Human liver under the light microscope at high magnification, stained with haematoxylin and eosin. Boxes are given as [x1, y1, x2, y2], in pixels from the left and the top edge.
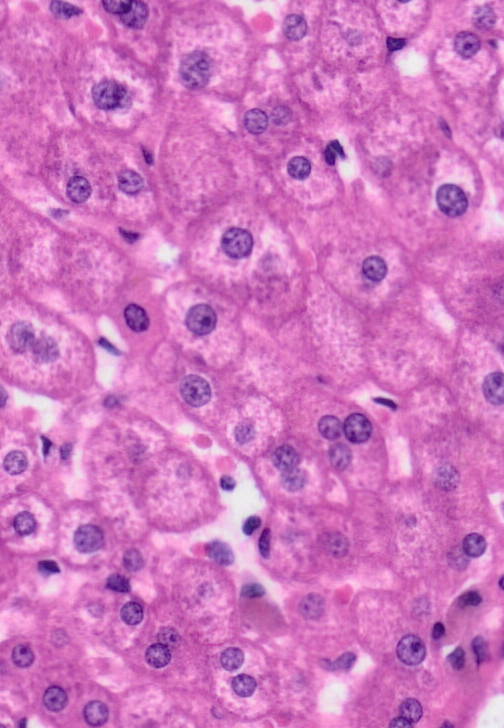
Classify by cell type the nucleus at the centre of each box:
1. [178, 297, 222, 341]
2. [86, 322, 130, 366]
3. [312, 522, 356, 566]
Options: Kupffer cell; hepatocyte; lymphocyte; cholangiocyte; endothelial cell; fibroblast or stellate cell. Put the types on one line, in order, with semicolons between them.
hepatocyte; endothelial cell; hepatocyte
